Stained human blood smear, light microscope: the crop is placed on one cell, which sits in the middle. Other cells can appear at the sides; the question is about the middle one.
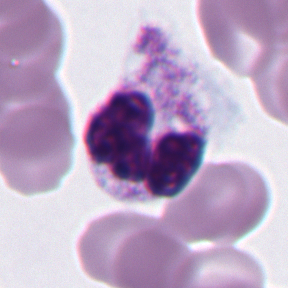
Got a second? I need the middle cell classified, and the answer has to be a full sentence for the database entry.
The central cell shown in this smear crop is a segmented neutrophil.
